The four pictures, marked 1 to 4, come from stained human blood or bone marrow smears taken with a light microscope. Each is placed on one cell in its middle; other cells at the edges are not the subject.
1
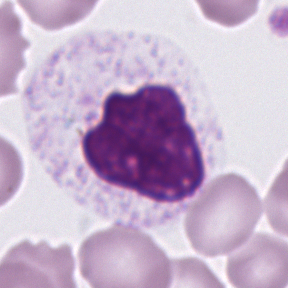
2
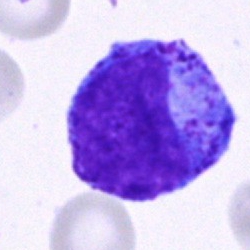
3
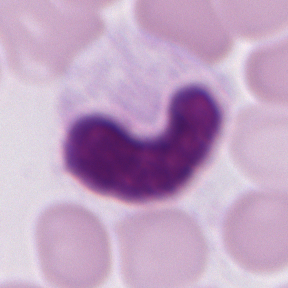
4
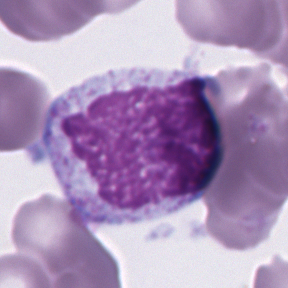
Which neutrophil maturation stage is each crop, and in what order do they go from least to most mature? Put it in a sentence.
Reading from least to most mature, the order comes out as crop 2 (a promyelocyte), crop 4 (a myelocyte), crop 3 (a band neutrophil) and crop 1 (a segmented neutrophil).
